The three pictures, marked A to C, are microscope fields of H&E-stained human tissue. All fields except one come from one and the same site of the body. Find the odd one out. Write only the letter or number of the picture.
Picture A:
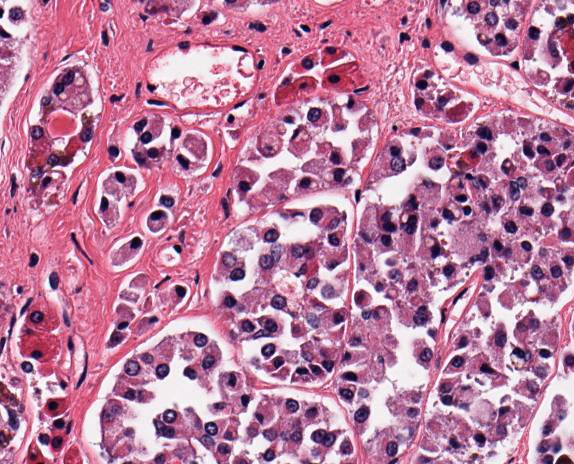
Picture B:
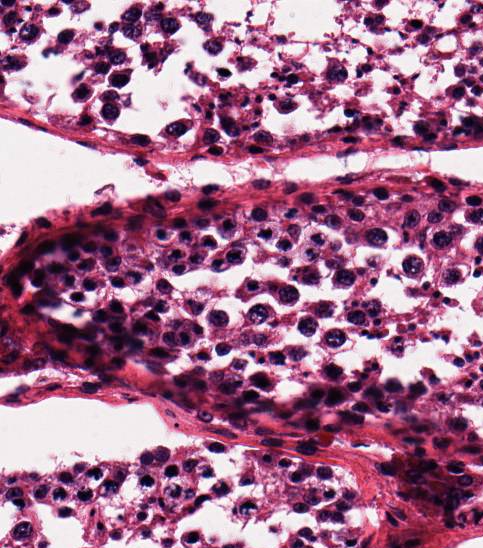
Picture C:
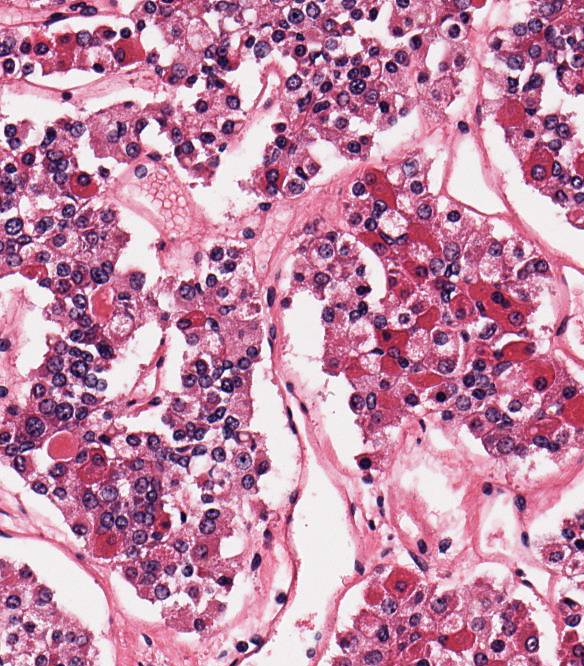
B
